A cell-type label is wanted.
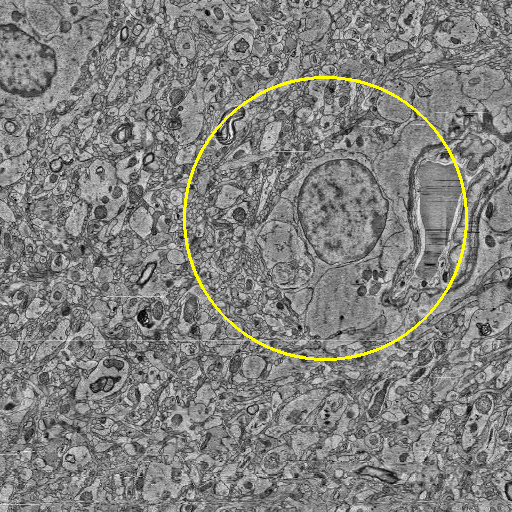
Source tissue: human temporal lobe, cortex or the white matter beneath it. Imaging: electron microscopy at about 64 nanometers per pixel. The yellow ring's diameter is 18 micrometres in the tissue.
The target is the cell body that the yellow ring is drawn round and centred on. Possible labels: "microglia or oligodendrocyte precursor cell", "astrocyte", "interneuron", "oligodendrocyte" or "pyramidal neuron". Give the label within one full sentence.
Of the labels offered, the cell in the middle of the yellow ring is a microglial cell or oligodendrocyte precursor cell.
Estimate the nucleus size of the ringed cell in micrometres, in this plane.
In this plane the nucleus measures roughly 7 by 6 micrometers.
